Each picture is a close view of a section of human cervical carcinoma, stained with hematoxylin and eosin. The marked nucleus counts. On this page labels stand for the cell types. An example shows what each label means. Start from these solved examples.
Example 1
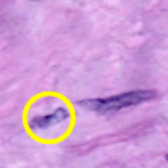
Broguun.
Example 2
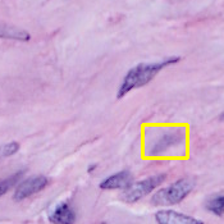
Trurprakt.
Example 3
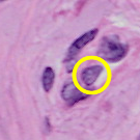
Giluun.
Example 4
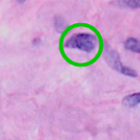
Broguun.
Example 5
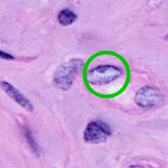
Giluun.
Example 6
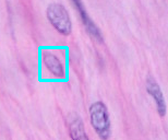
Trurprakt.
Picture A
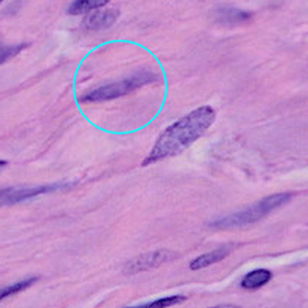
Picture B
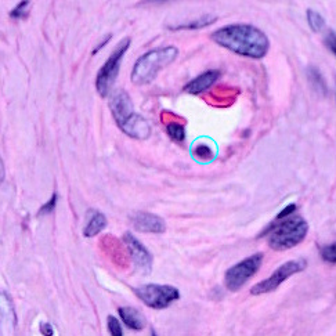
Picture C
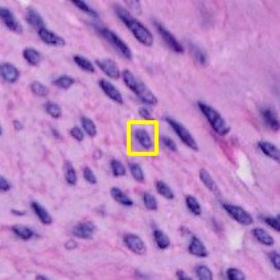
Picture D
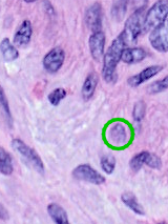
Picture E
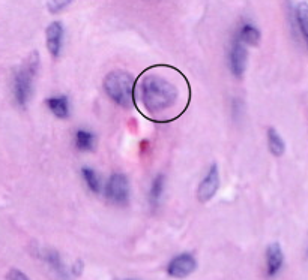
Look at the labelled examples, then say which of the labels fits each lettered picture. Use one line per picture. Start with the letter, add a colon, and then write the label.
A: Broguun.
B: Giluun.
C: Trurprakt.
D: Trurprakt.
E: Giluun.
